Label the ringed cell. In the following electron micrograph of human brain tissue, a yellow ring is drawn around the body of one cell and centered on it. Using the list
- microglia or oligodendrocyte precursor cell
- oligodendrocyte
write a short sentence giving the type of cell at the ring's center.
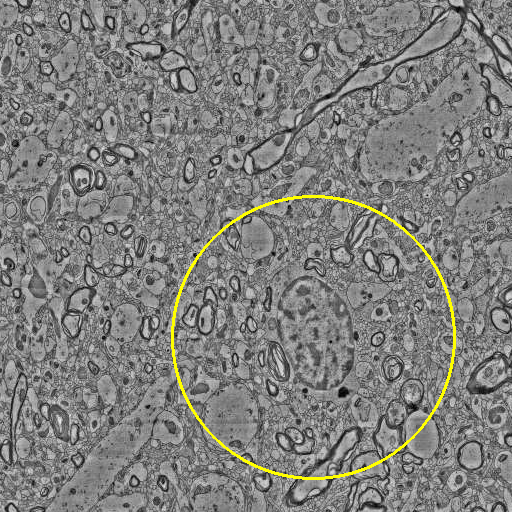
The cell body at the ring's center is that of an oligodendrocyte.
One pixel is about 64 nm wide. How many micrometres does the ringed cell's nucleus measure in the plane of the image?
The nucleus comes to roughly 7 by 5 micrometres in this plane.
